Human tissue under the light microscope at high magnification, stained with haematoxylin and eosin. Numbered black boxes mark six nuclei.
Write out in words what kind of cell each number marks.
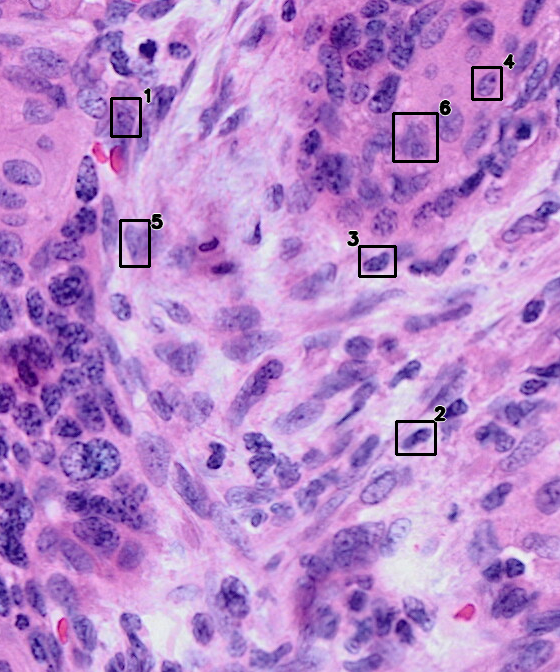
Cell 1 is an endothelial cell. Cells 2 and 3 are lymphocytes. Cells 4 and 6 are squamous carcinoma cells. Cell 5 is a fibroblast.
